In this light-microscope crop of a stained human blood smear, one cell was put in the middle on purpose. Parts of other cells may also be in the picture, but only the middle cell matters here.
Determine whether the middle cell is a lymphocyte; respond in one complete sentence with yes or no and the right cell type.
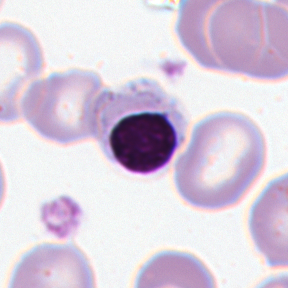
No, an erythroblast rather than a lymphocyte is the cell at the centre of the crop.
